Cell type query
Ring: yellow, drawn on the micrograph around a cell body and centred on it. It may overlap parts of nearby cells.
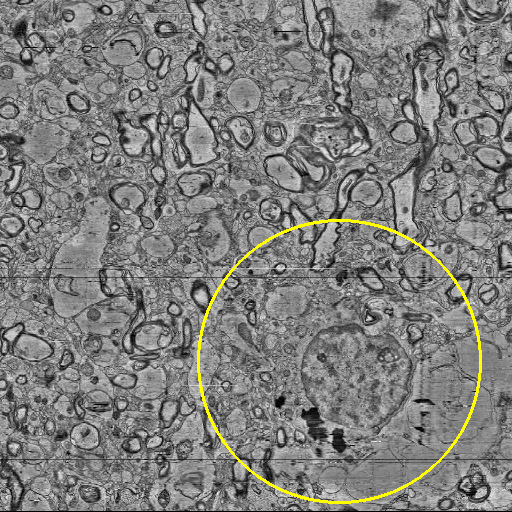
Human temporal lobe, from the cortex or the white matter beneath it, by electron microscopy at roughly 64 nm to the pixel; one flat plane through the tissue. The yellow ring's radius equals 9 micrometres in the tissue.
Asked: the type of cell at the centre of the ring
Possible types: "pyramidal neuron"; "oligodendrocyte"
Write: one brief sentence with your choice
The ring marks an oligodendrocyte.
